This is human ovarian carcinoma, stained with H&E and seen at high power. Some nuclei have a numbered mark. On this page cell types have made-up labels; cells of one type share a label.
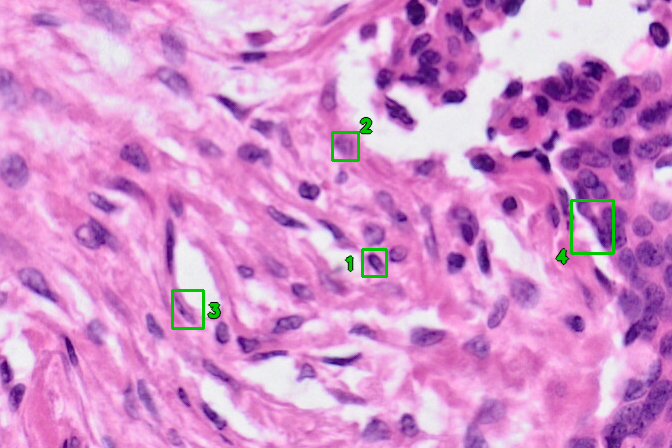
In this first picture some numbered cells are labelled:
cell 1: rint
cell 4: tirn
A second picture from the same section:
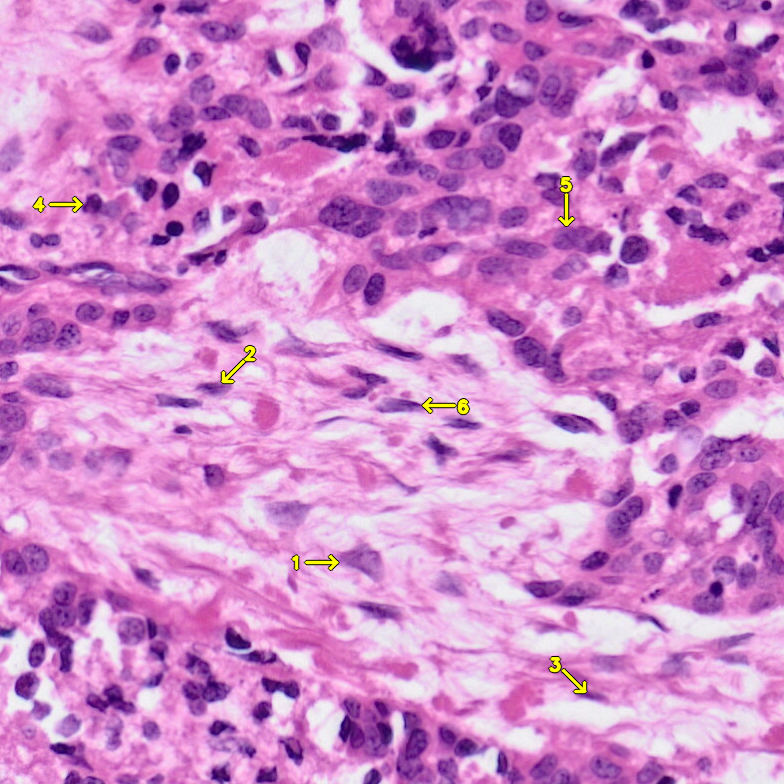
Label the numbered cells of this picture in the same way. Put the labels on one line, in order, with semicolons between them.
rint; rint; rint; tirn; tirn; rint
